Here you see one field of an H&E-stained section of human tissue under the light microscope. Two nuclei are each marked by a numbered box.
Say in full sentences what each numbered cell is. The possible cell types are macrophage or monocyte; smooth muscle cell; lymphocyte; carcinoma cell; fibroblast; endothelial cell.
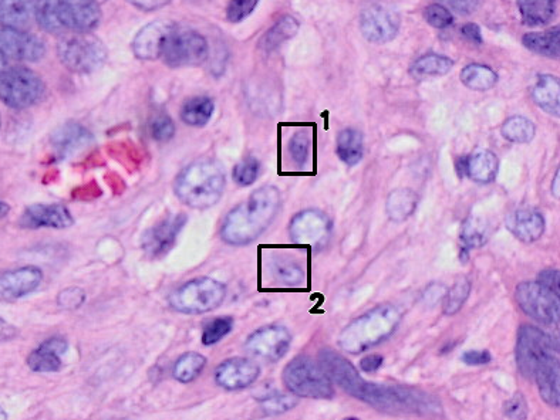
Cell 1 is a macrophage or monocyte. Cell 2 is a fibroblast.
